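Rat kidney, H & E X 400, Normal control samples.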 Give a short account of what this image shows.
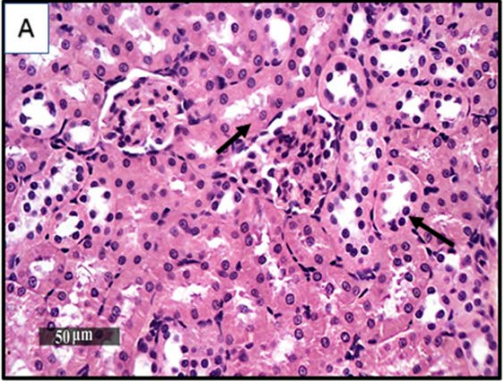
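Renal cortex with glomeruli surrounded by closely packed tubules lined by intact epithelium. Tubular cells are cuboidal with pink cytoplasm and round central nuclei, forming a continuous layer around open lumina. Glomeruli are compact tufts of nuclei within a narrow capsular space. The interstitium between tubules is scant.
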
